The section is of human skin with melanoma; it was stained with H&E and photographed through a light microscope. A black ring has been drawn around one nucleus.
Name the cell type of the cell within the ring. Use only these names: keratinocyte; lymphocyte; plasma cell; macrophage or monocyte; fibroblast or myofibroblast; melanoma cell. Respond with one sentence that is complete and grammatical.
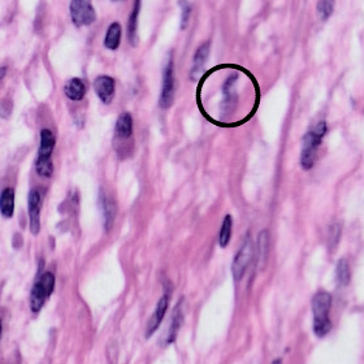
By its classification, the cell within the ring is a fibroblast or myofibroblast.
